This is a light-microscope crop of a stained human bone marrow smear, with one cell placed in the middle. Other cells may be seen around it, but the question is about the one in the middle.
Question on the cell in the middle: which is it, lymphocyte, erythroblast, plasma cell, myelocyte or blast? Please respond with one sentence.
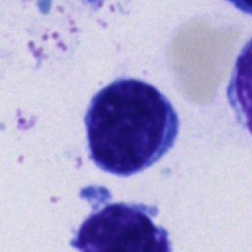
Standing at the centre of this crop is a lymphocyte.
